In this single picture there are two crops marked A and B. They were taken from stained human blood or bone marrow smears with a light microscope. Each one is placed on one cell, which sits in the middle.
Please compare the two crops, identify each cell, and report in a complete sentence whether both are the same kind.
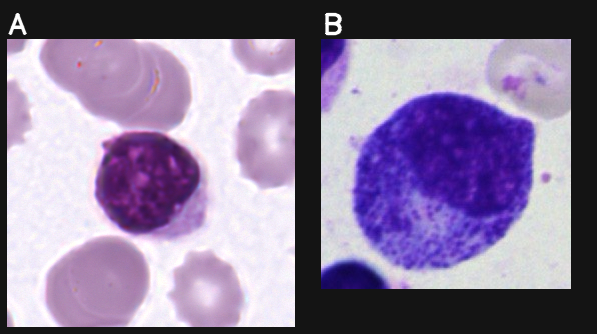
No, the cell shown in crop A is a plasma cell, and the cell shown in crop B is a promyelocyte.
